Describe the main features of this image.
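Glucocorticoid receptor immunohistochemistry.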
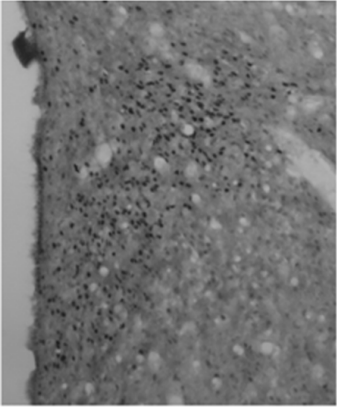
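Section of hypothalamus beside the third ventricle, whose edge runs along the left border. A dense cluster of small, darkly stained nuclei forms a compact group in the upper part of the field, close to but set back from the ventricular edge, with a further band of stained nuclei extending downward along the ventricle. Around this cluster the stained nuclei are scattered more sparsely through a grey neuropil. Numerous small round pale holes, likely vessel profiles, are spread through the tissue.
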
